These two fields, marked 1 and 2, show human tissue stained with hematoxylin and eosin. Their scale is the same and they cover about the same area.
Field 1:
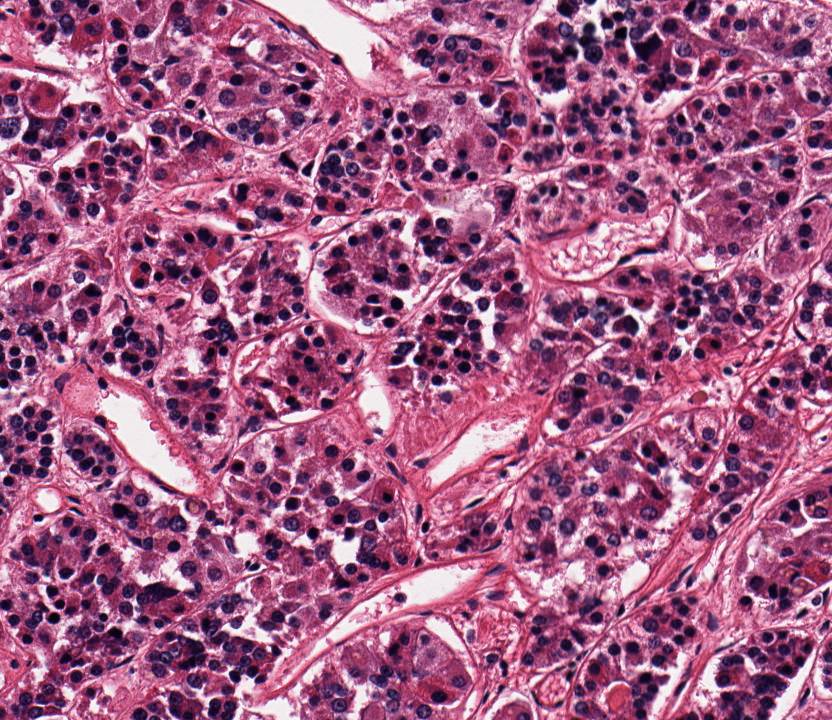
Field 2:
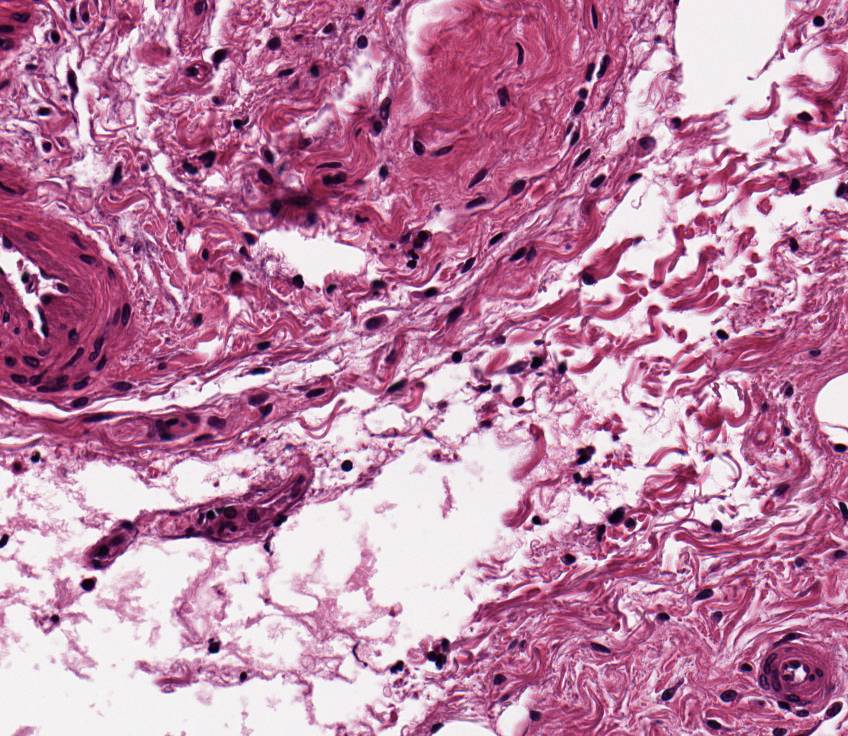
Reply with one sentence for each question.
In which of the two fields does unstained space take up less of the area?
Unstained space takes up less of field 1 than of field 2.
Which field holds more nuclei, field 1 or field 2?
It is field 1 that has more nuclei in it.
